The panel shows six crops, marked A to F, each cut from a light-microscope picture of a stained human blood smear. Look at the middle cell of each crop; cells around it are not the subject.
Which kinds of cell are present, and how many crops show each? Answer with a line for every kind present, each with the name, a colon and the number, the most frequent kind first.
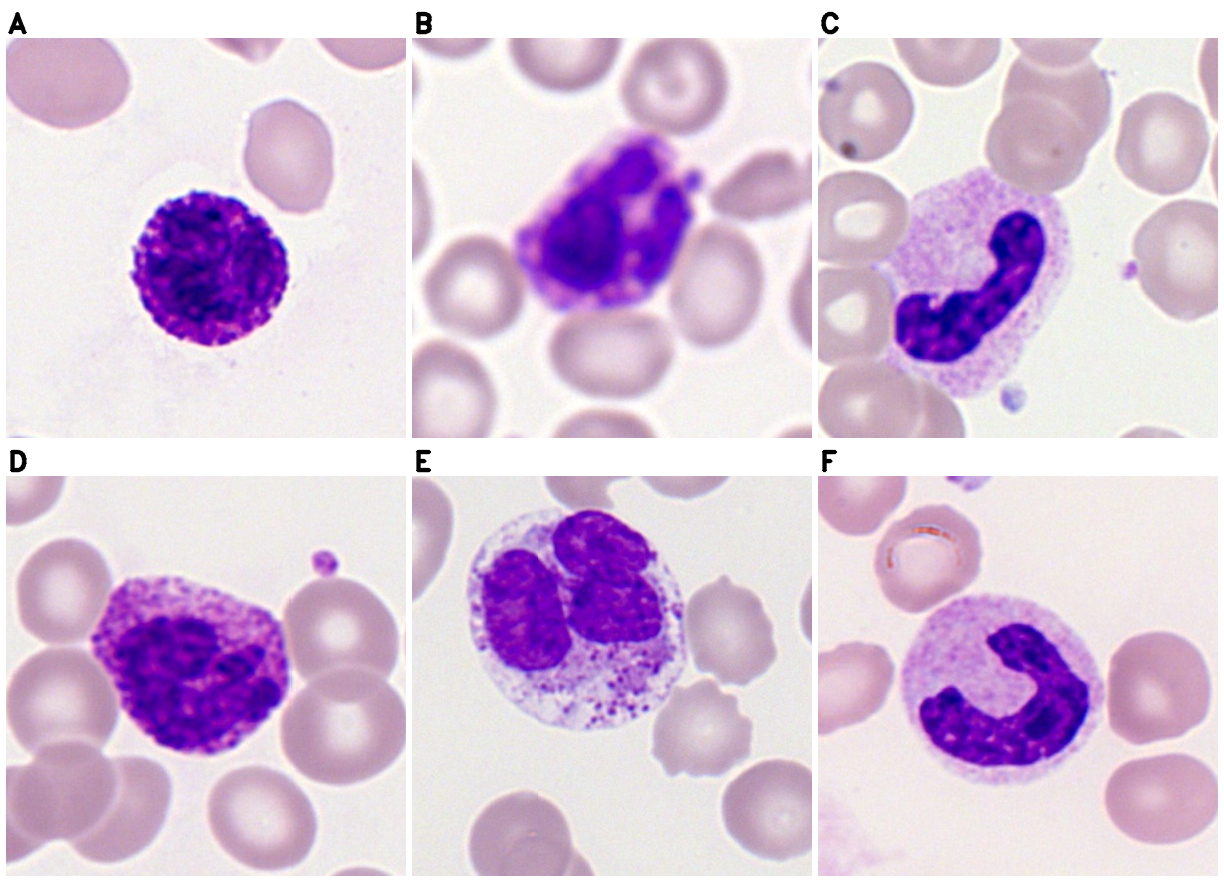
basophil: 4
band neutrophil: 2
